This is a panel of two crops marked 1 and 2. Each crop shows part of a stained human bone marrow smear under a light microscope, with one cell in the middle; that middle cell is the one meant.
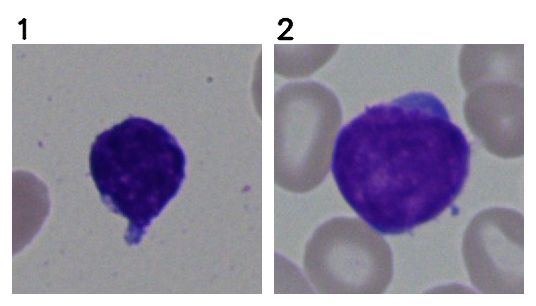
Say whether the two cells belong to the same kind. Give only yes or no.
yes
